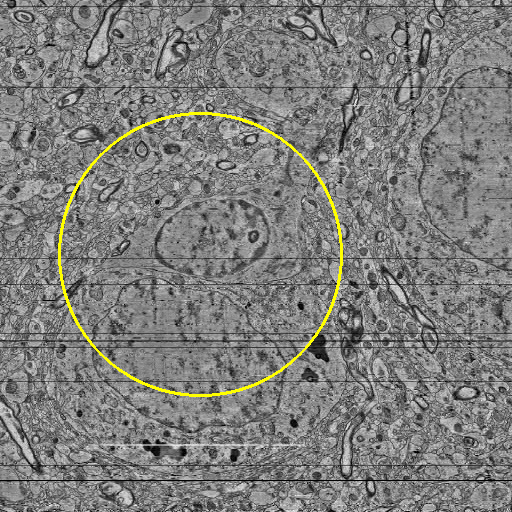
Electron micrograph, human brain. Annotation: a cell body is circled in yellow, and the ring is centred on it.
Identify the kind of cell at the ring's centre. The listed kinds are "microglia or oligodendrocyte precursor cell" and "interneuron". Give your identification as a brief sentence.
The circled cell body is that of a microglial cell or oligodendrocyte precursor cell.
